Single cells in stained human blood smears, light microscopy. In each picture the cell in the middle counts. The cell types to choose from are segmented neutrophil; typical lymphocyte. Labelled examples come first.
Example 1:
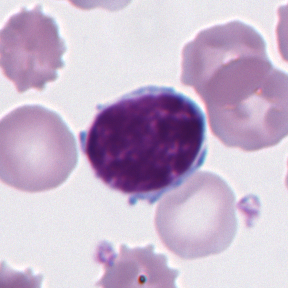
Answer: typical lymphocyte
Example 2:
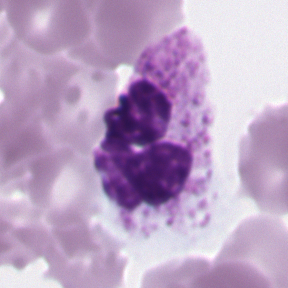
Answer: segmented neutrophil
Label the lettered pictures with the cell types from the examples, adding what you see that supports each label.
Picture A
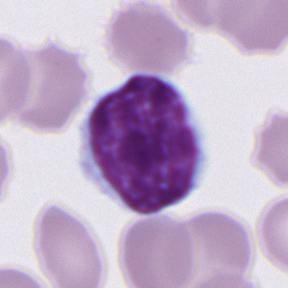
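typical lymphocyte. The cytoplasm forms only a thin rim around the nucleus.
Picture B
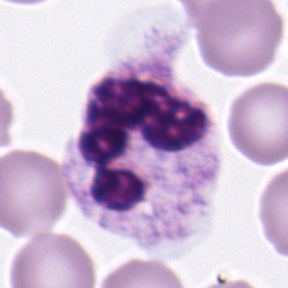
segmented neutrophil. The cytoplasm is abundant and pale pinkish-lilac.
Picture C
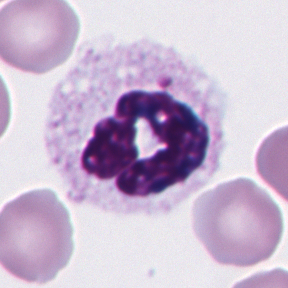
segmented neutrophil. A broad rim of pale pink-lilac cytoplasm surrounds the nucleus.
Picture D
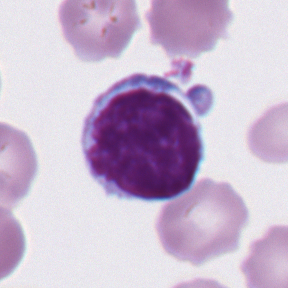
typical lymphocyte. The cytoplasm forms only a thin rim around the nucleus.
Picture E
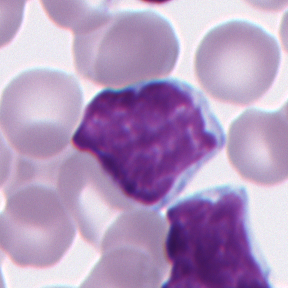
typical lymphocyte. The nucleus fills almost the whole cell, leaving only a narrow rim of cytoplasm.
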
